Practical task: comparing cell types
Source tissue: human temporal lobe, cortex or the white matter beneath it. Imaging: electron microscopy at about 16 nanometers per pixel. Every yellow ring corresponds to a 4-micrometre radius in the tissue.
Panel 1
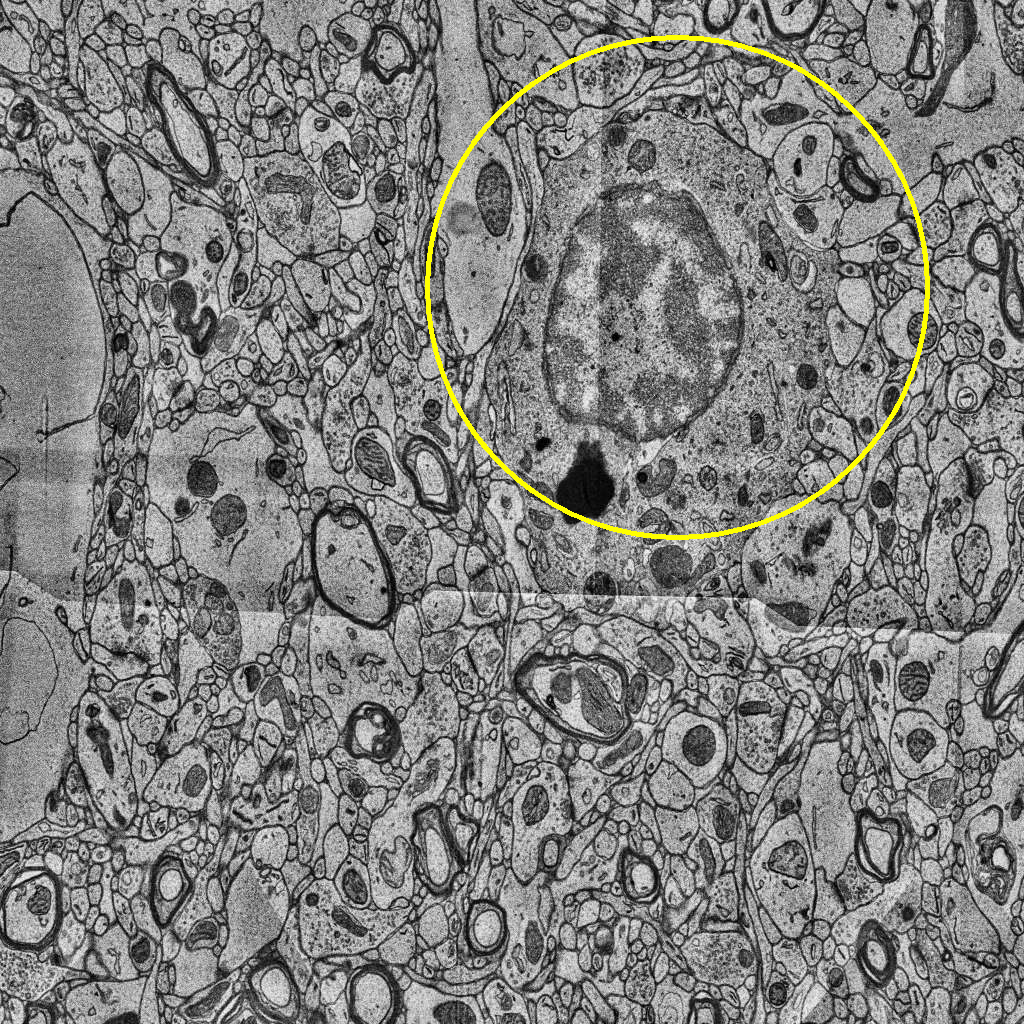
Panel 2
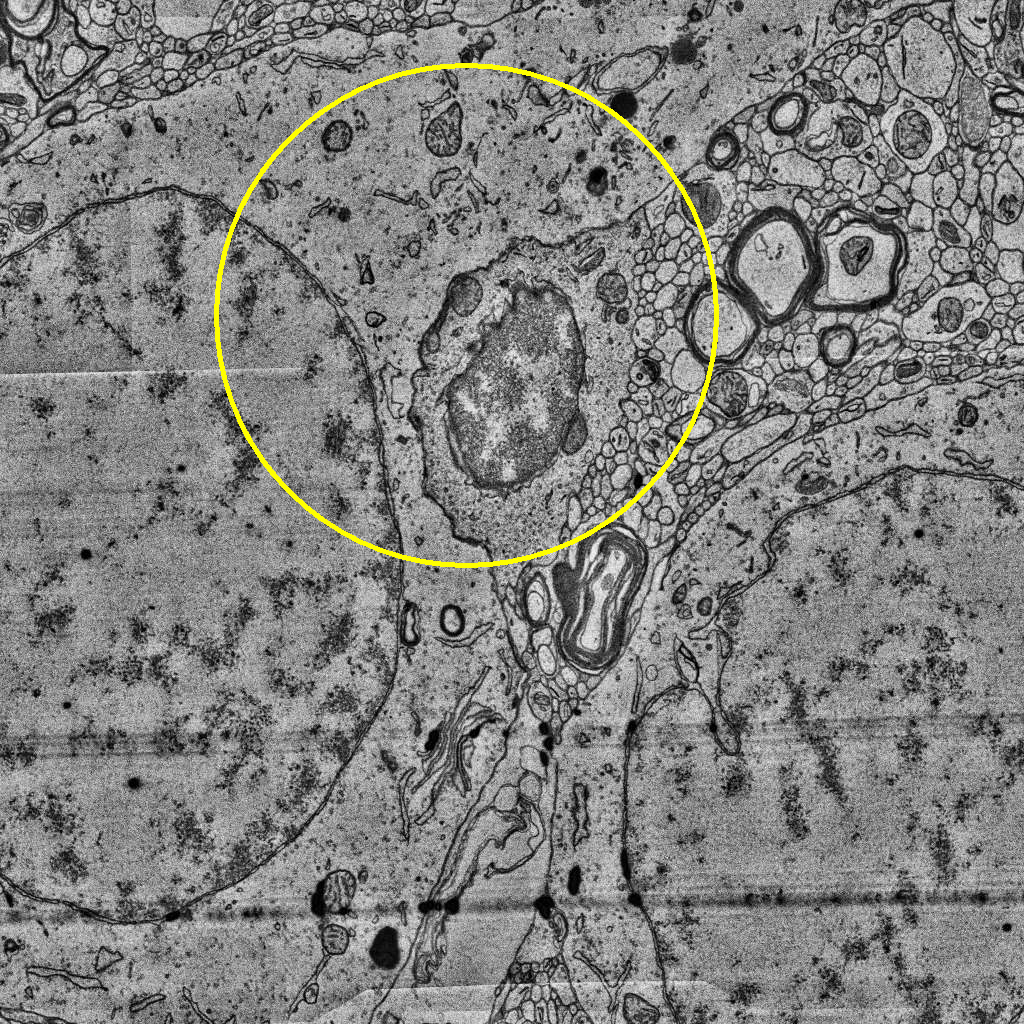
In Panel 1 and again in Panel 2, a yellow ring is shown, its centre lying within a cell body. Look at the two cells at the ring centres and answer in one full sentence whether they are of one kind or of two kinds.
The two cells sitting at the ring centres of Panels 1 and 2 are of one kind.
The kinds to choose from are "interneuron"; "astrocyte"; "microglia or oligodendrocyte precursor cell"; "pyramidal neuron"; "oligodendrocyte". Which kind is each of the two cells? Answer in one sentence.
Both pictures show an oligodendrocyte at the centre of the ring.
